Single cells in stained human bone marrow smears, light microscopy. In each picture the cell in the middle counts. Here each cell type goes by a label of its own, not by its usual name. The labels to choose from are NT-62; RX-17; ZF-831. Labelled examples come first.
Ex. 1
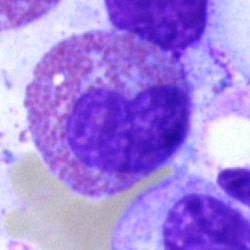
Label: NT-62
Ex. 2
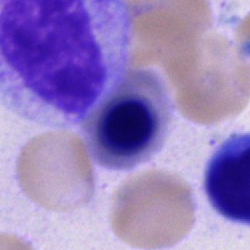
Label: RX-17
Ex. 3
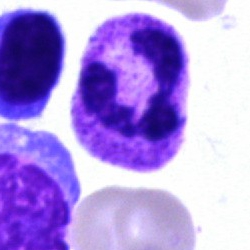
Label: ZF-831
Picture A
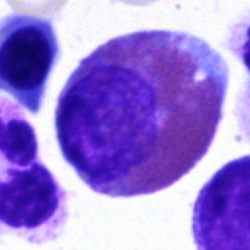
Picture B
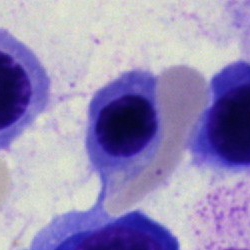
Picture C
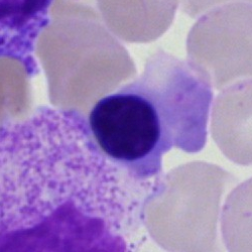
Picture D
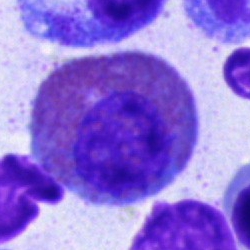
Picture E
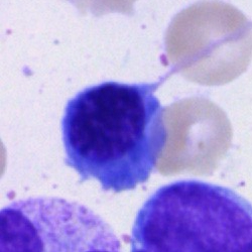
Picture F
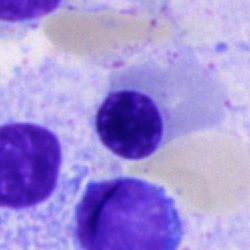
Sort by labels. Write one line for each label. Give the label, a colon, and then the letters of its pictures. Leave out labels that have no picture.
NT-62: A, D
RX-17: B, C, E, F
